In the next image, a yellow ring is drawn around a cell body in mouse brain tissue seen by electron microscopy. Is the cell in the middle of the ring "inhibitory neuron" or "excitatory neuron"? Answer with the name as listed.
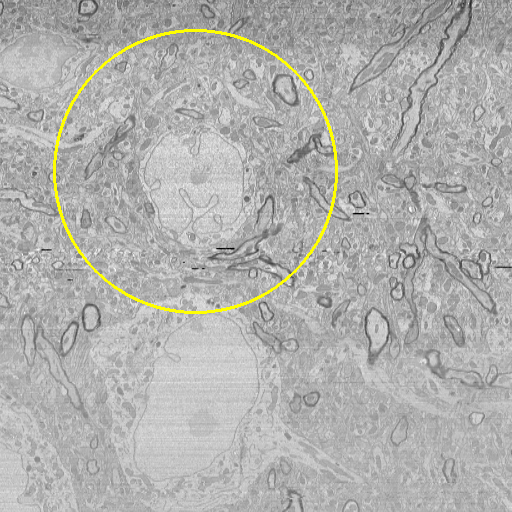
inhibitory neuron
